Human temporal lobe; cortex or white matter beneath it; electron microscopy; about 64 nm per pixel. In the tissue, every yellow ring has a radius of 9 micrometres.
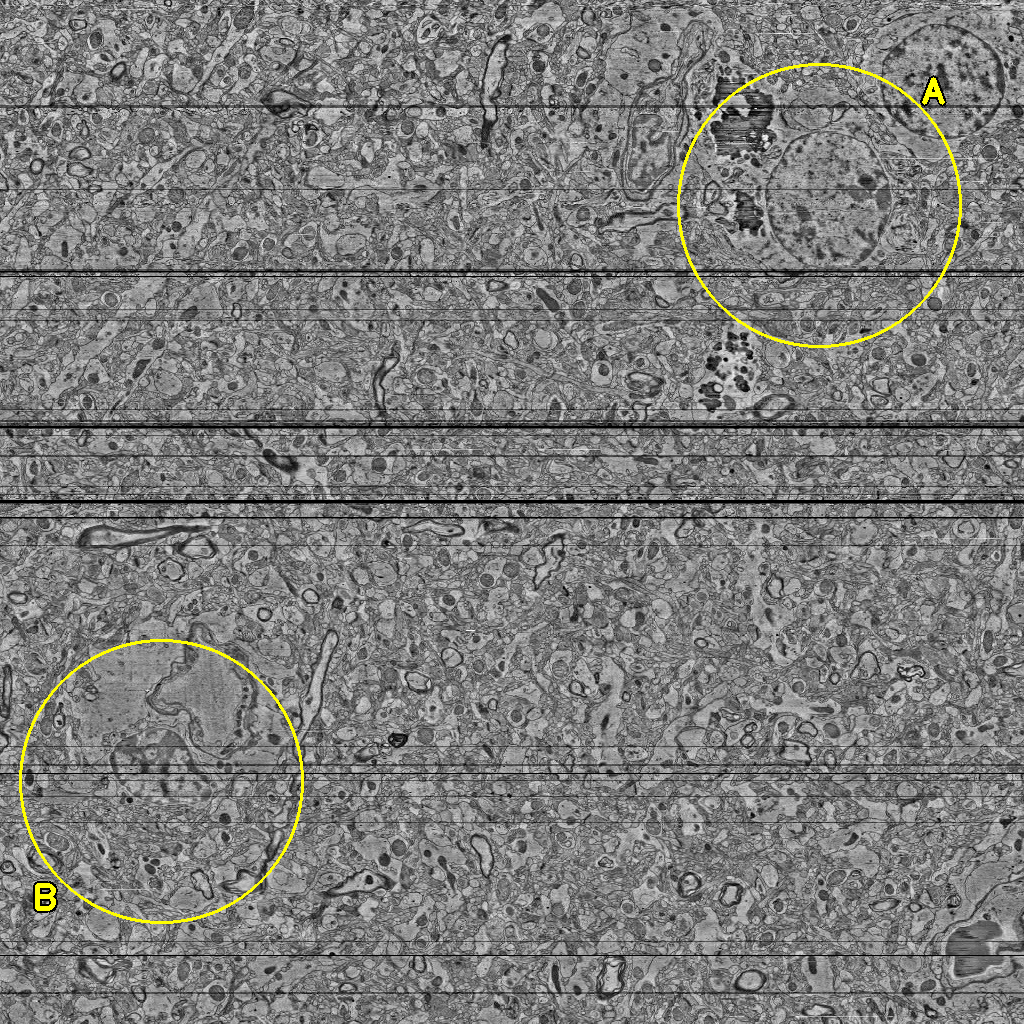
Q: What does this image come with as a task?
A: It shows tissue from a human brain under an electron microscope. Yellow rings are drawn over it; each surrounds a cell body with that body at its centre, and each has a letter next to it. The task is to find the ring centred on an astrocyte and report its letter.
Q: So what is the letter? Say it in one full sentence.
It is A, the letter of the ring centred on the cell asked for in the picture.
